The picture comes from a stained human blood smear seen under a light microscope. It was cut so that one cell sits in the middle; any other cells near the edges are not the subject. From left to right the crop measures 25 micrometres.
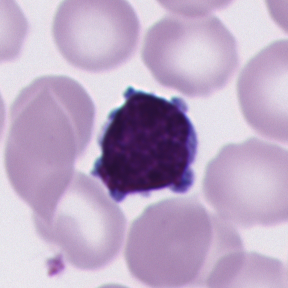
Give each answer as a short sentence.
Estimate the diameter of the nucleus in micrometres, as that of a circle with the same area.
Taken as a circle, the nucleus has a diameter of about 8 micrometres.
